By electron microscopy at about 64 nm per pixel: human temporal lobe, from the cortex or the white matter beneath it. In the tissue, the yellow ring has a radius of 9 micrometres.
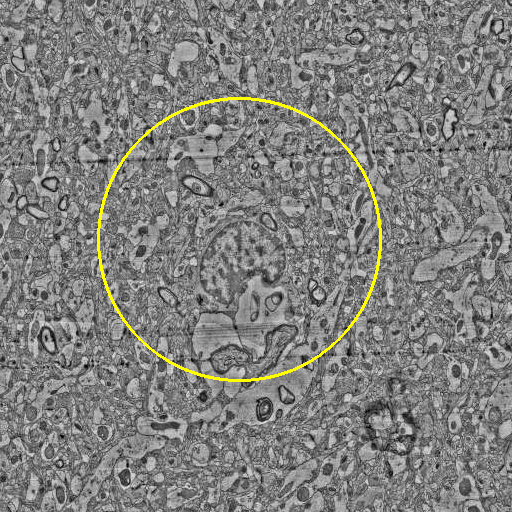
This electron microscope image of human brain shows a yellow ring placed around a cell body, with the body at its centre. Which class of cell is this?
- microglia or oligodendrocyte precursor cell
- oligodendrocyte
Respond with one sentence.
The cell body at the ring's centre is an oligodendrocyte.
